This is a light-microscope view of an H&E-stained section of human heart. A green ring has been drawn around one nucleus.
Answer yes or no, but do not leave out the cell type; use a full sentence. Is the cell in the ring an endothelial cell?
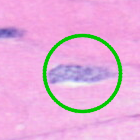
No, just to correct that, the cell in the ring is a cardiomyocyte and not an endothelial cell.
